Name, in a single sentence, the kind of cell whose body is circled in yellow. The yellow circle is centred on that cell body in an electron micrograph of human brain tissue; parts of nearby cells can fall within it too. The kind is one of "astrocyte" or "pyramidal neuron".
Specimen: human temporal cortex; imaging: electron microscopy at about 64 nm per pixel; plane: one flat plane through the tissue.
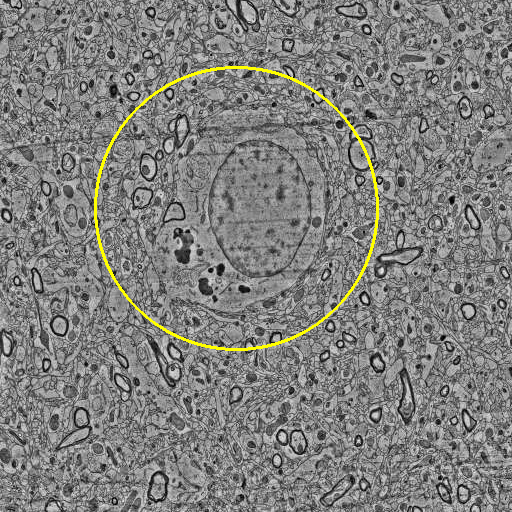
The circled cell body belongs to an astrocyte.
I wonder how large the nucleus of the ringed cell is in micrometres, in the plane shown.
In this plane, approximately 9 by 7 micrometers.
